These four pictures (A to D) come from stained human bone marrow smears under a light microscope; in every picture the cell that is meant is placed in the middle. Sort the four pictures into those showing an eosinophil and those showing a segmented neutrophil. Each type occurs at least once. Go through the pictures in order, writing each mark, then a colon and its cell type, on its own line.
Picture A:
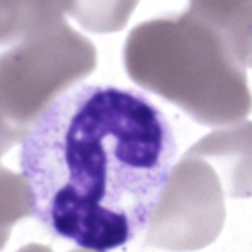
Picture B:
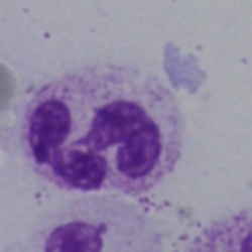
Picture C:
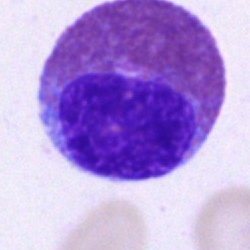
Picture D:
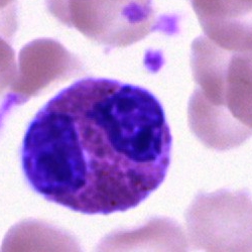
A: segmented neutrophil
B: segmented neutrophil
C: eosinophil
D: eosinophil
